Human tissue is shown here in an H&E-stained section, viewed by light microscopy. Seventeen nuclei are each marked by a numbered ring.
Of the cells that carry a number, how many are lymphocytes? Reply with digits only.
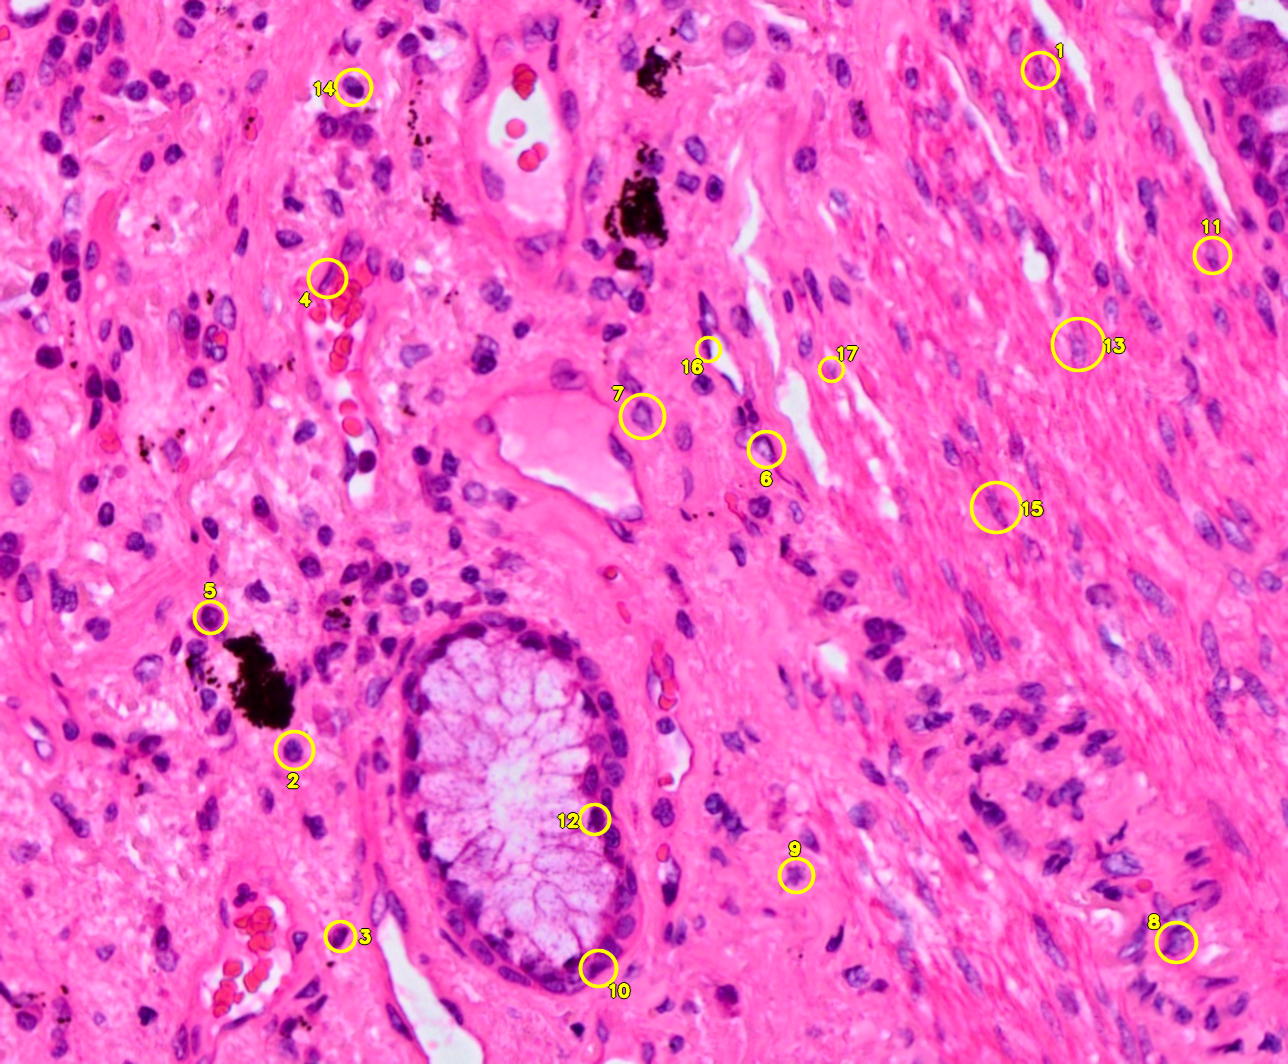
1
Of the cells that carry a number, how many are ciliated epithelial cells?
2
